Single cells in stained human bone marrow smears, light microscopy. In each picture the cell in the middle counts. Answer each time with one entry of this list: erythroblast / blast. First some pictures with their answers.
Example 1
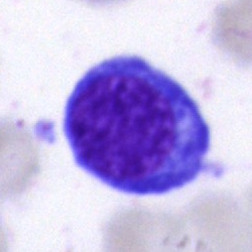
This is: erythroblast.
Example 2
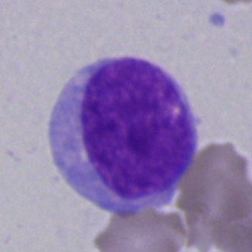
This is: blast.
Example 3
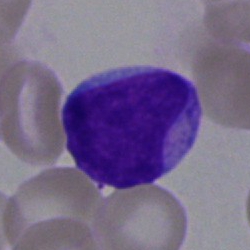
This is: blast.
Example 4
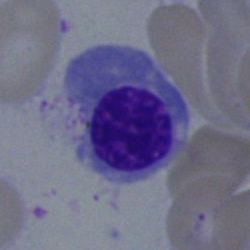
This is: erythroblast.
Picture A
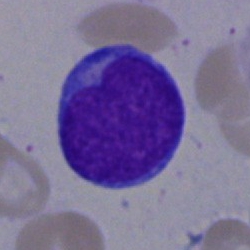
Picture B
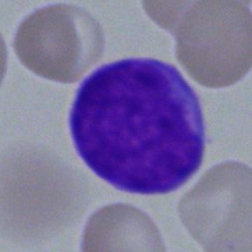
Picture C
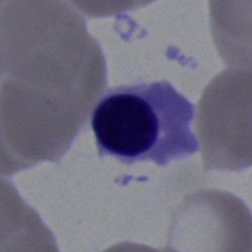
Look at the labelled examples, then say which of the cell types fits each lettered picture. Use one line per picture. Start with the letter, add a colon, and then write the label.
A: blast.
B: blast.
C: erythroblast.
